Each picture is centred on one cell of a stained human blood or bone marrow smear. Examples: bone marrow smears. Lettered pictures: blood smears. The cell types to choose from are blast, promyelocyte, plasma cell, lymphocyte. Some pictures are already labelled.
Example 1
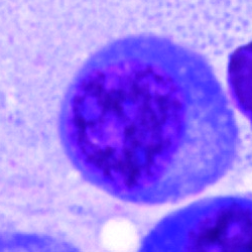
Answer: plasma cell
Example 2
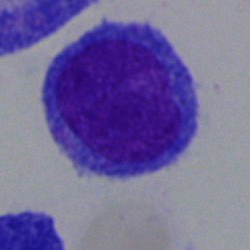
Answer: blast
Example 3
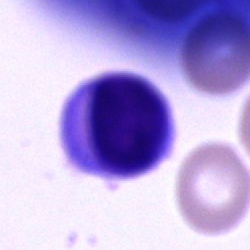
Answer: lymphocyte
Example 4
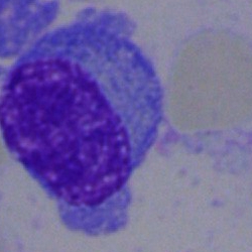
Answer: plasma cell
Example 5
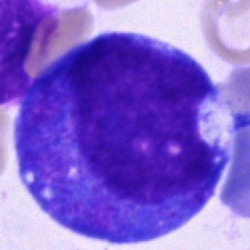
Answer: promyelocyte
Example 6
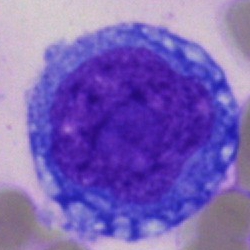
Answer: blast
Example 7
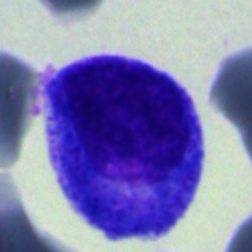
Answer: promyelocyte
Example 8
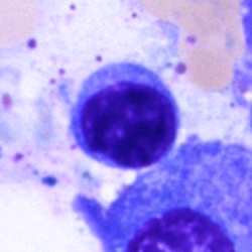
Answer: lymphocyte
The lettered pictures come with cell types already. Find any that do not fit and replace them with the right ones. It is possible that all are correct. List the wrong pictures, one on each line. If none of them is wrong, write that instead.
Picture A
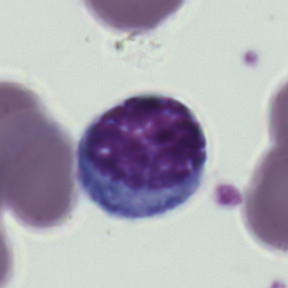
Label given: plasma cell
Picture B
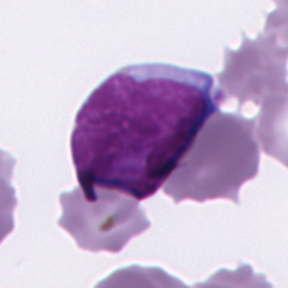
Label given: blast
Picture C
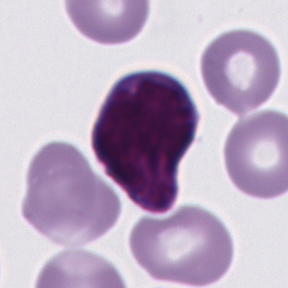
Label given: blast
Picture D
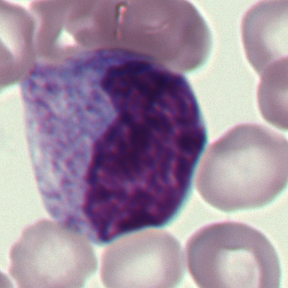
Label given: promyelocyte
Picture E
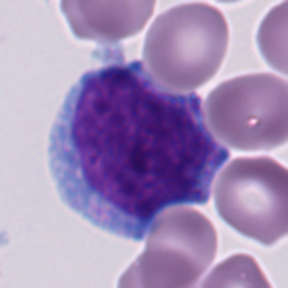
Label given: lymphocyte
E should be promyelocyte, not lymphocyte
